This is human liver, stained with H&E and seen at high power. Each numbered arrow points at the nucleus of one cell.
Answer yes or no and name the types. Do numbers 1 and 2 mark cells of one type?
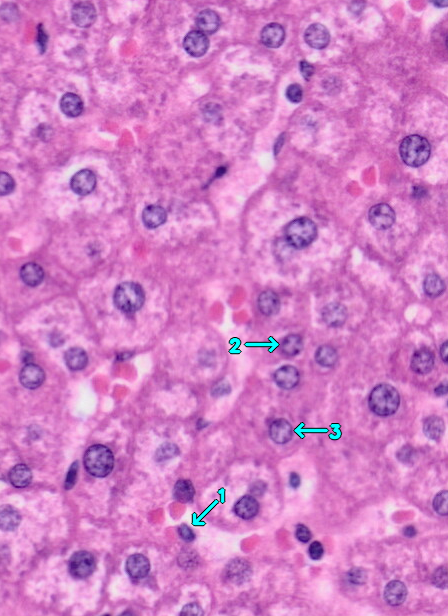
No, cell 1 is a lymphocyte and cell 2 is a hepatocyte.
